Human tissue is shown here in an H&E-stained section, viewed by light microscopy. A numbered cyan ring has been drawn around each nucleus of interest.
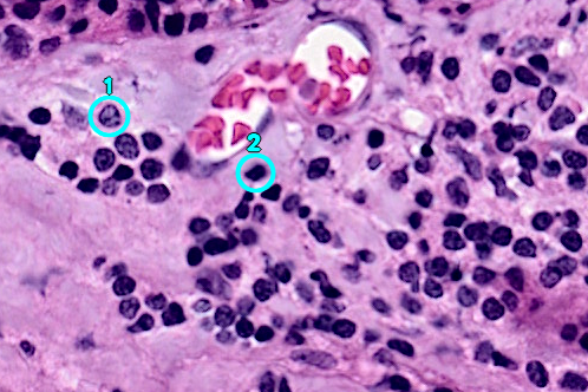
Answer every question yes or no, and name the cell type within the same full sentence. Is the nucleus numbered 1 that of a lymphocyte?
No, the marker 1 sits on a mast cell, not on a lymphocyte.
